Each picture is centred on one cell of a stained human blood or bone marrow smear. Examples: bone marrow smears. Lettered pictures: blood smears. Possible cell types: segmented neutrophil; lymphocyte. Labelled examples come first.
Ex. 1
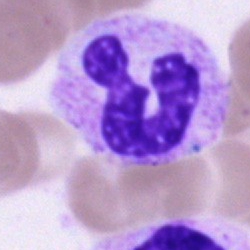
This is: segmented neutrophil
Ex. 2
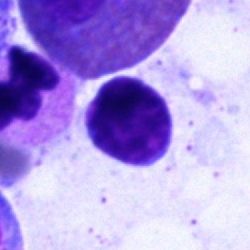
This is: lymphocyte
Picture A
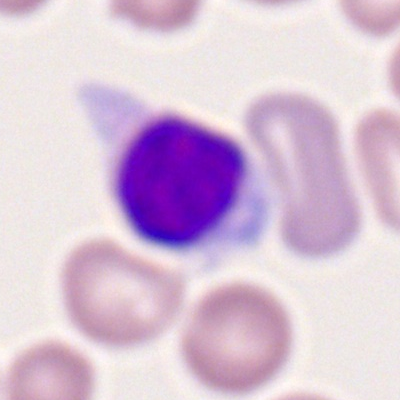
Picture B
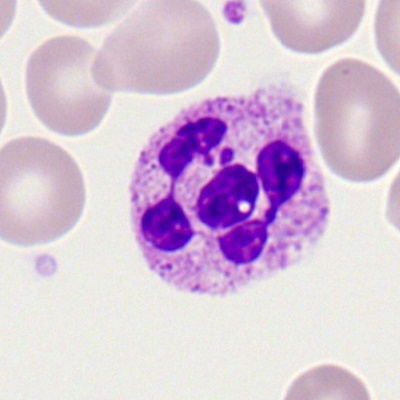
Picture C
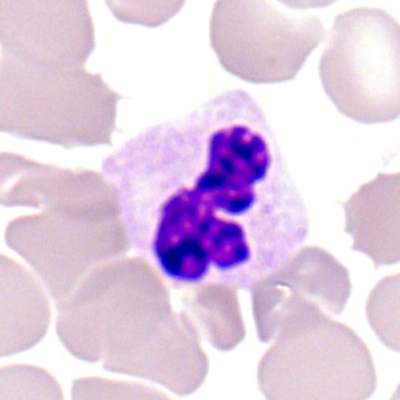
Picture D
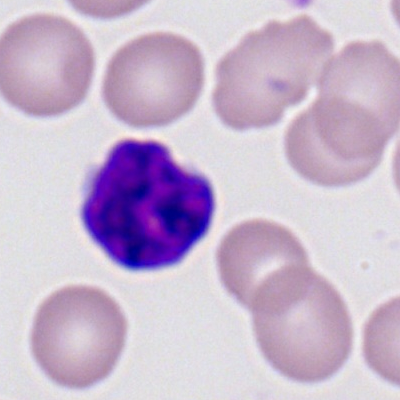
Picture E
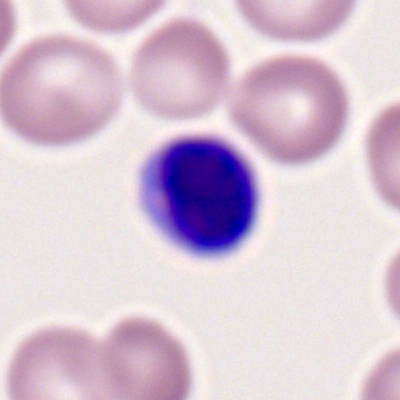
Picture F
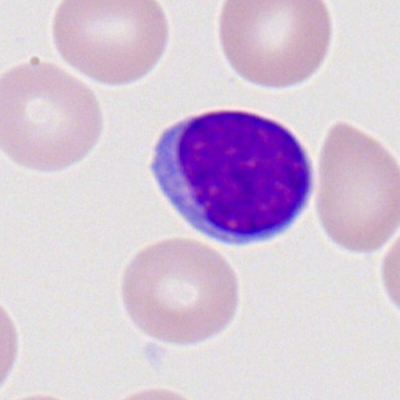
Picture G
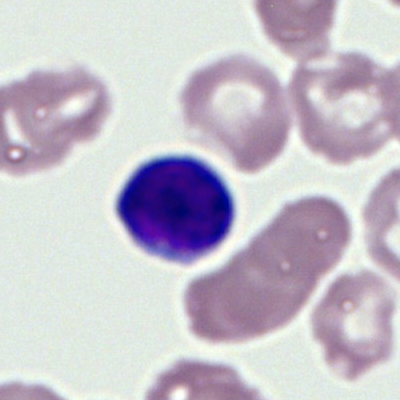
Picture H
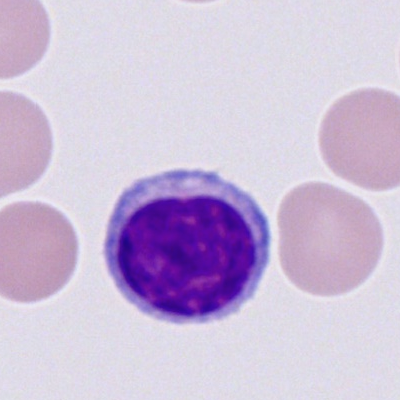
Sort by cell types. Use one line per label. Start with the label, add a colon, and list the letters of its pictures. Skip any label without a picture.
segmented neutrophil: B, C
lymphocyte: A, D, E, F, G, H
